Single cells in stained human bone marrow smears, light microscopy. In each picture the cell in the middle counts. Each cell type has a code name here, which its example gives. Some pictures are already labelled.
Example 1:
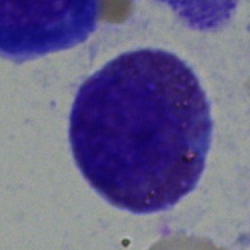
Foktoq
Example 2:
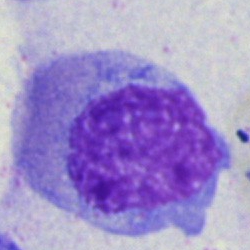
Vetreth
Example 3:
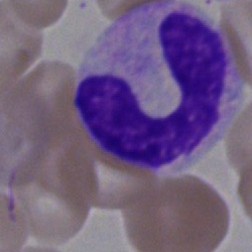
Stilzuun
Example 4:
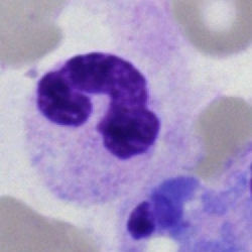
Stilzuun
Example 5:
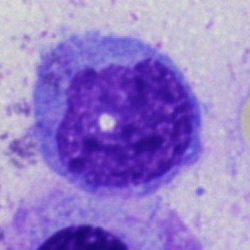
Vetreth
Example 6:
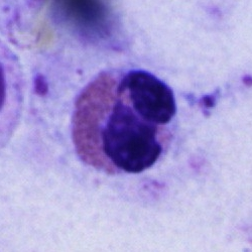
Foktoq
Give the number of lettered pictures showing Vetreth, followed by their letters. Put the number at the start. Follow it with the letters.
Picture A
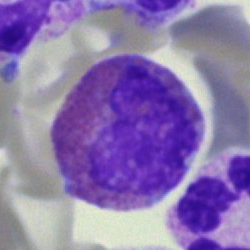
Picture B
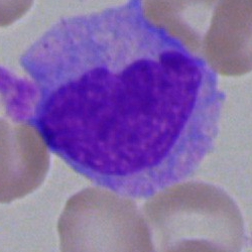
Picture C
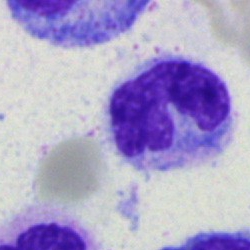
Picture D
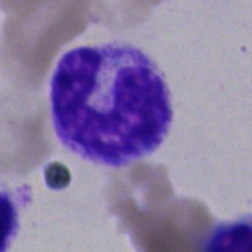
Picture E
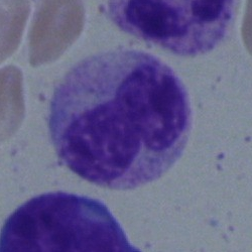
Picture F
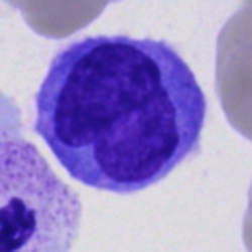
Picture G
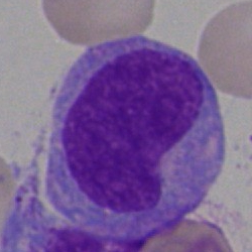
4, namely B, C, F, G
